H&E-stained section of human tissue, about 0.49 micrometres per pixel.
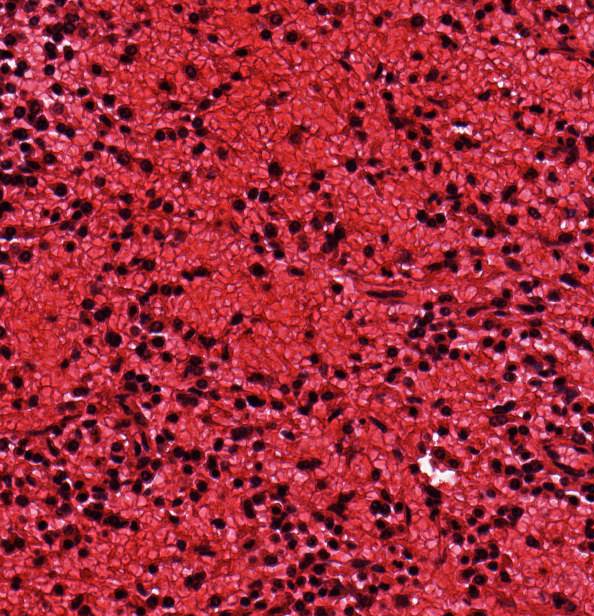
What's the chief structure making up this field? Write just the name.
red pulp of the spleen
